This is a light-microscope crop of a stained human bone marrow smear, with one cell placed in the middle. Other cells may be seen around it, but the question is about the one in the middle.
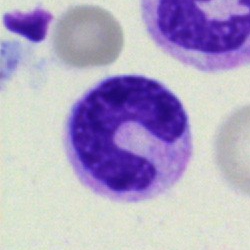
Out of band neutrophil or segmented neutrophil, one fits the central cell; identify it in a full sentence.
The cell that lies at the centre of the crop is a band neutrophil.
